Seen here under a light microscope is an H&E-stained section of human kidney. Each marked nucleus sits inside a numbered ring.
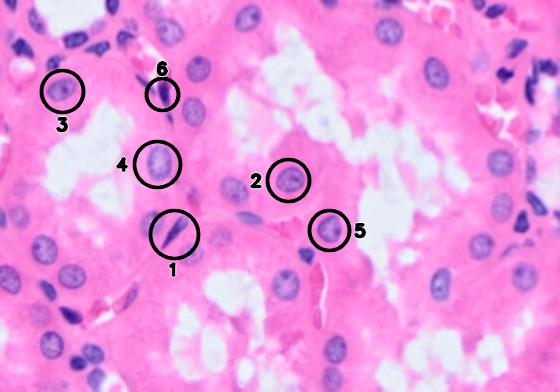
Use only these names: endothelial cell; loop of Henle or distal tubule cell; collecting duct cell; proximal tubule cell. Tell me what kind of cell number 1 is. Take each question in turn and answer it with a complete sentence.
The marked cell bearing number 1 is an endothelial cell.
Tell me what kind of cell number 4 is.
The one numbered 4 among the marked cells is a proximal tubule cell.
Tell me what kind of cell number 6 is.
The cell pointed out by number 6 is an endothelial cell.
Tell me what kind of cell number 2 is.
The numbered cell 2 is identified here as a proximal tubule cell.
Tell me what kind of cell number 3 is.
The cell that bears the number 3 is a proximal tubule cell.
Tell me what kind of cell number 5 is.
The correct answer for cell 5 is a proximal tubule cell.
